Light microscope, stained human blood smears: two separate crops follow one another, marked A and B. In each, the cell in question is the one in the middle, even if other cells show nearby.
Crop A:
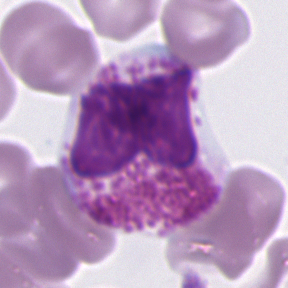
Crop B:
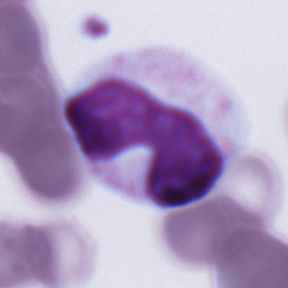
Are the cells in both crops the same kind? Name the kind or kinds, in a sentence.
No, in fact crop A shows an eosinophil, and crop B shows a band neutrophil.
